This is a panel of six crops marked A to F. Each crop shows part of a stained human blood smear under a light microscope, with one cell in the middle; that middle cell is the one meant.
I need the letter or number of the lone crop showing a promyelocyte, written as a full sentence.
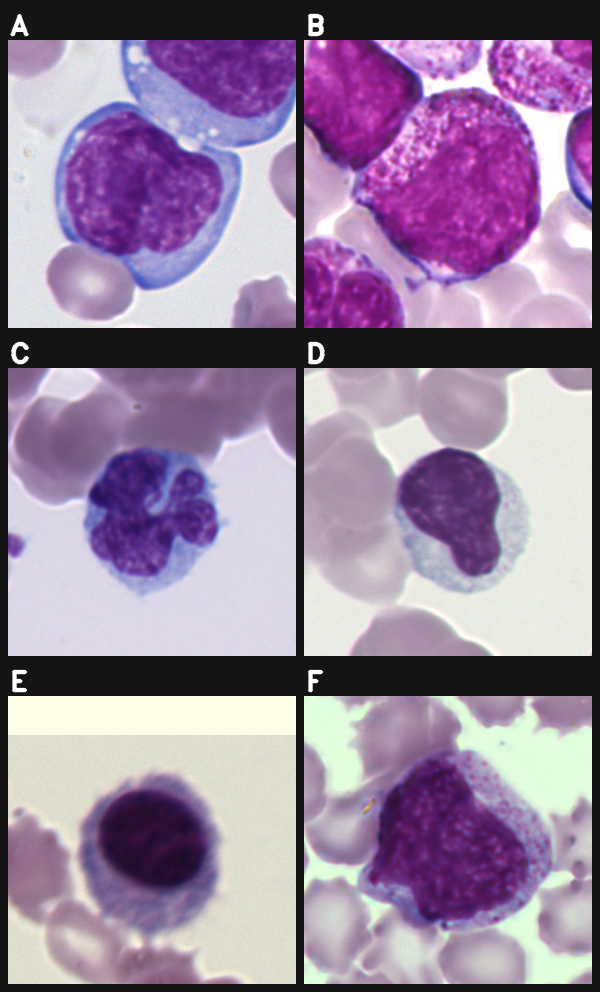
Crop B is the crop in which a promyelocyte is shown.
